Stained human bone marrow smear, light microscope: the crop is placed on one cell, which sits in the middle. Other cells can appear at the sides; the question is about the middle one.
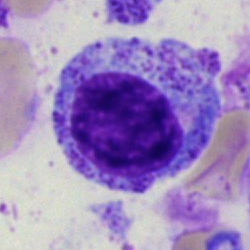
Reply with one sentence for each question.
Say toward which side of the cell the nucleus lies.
Toward the lower left of the cell lies its nucleus.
